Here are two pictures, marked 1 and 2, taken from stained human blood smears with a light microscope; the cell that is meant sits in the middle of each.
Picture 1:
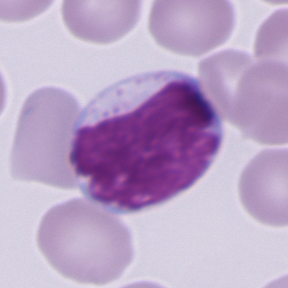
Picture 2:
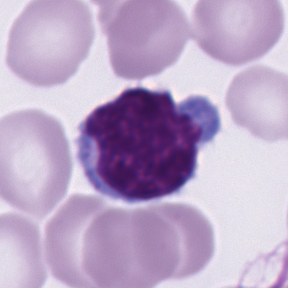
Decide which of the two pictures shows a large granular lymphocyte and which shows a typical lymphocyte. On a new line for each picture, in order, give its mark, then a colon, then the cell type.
1: large granular lymphocyte
2: typical lymphocyte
